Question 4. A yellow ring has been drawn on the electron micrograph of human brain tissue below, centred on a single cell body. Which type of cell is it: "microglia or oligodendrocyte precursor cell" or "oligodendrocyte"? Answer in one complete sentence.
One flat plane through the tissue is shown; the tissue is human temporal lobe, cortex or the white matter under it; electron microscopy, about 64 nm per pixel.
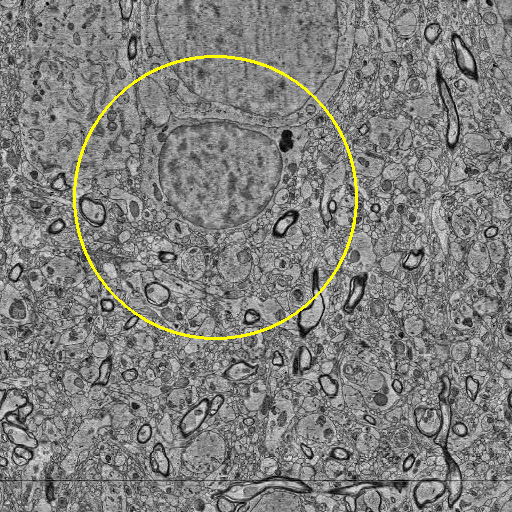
This cell body belongs to an oligodendrocyte.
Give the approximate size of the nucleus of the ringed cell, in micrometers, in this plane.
In this plane the nucleus measures roughly 8 by 7 micrometres.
